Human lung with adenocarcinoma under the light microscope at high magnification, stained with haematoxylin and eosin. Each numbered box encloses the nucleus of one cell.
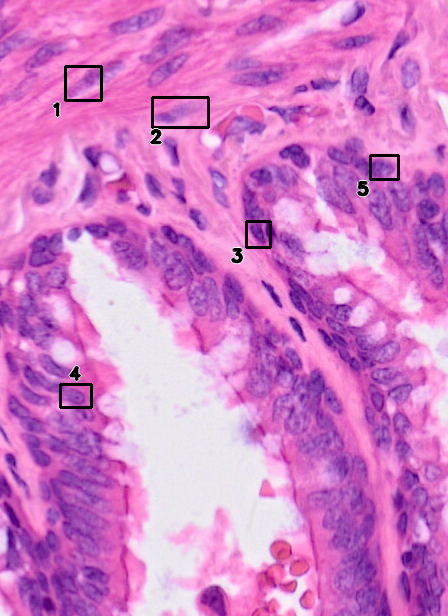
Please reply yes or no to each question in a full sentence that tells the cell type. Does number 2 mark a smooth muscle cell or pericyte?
Yes, cell 2 is a smooth muscle cell or pericyte in this tissue section.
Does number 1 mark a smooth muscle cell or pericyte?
Yes, what number 1 marks is a smooth muscle cell or pericyte.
